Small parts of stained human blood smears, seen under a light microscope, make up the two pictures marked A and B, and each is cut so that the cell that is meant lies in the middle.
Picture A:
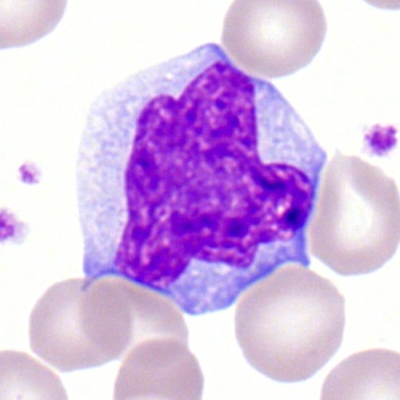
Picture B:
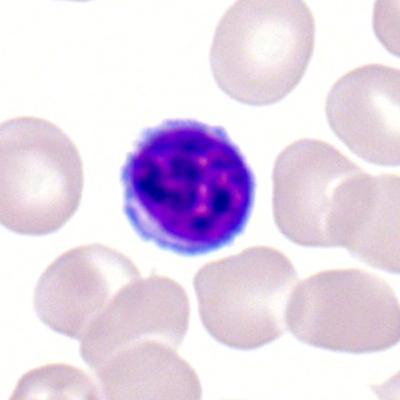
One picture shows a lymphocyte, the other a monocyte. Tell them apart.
A: monocyte
B: lymphocyte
